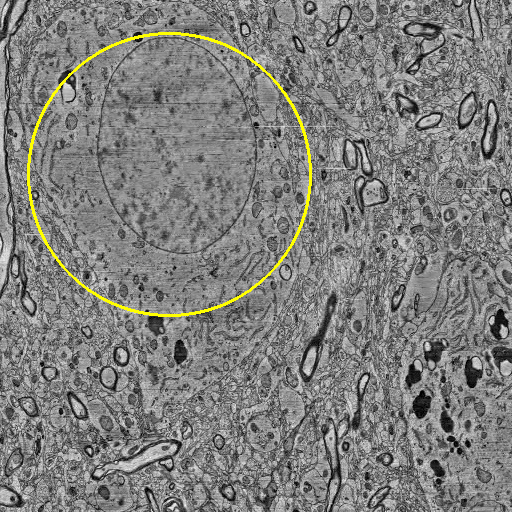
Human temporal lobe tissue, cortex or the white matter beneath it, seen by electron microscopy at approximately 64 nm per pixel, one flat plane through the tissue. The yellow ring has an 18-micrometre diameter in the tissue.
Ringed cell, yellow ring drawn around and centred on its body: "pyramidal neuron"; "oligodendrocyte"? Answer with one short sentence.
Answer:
This ringed cell is a pyramidal neuron.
